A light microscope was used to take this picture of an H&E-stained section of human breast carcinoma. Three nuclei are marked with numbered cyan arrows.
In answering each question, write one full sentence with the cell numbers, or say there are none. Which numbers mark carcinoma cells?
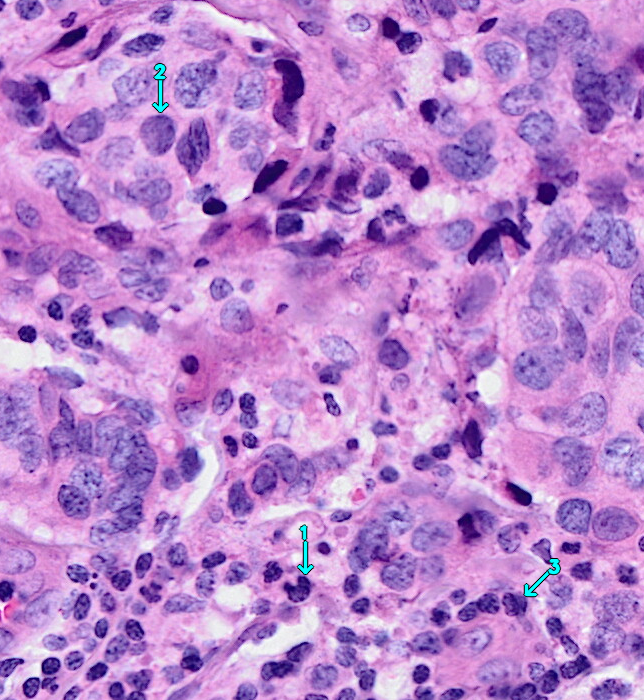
Across all the numbered cells, only number 2 is a carcinoma cell.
